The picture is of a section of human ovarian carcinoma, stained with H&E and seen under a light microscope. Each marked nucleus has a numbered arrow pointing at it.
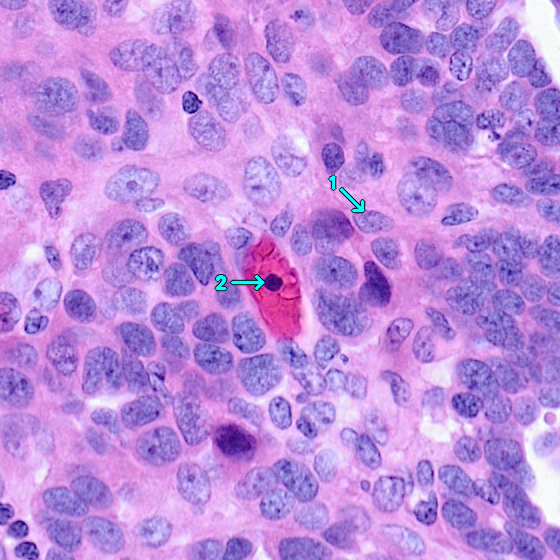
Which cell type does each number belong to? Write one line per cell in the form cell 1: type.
cell 1: carcinoma cell
cell 2: lymphocyte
